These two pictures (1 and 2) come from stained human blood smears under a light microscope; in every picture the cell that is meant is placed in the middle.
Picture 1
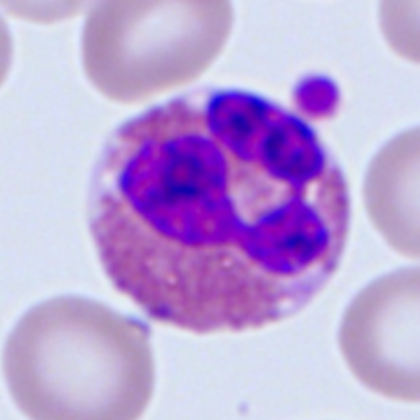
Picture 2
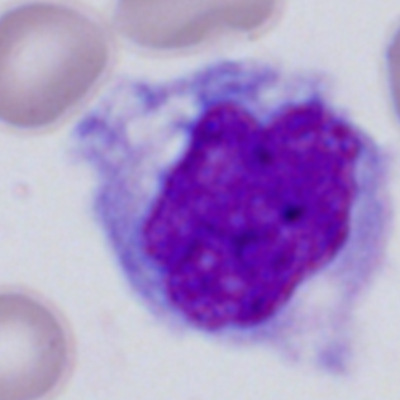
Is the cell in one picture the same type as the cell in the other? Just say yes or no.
no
